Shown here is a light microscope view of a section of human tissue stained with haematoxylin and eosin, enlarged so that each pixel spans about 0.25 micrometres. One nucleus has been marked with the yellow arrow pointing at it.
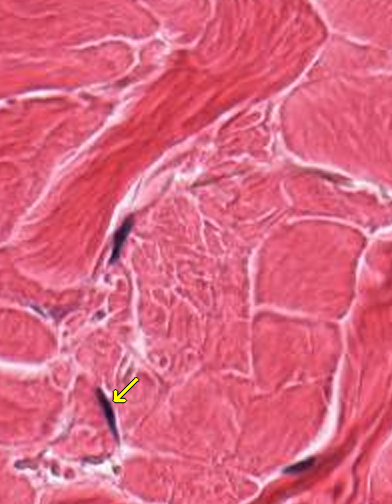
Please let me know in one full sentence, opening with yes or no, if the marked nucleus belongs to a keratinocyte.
No, the marked nucleus is not housed in a keratinocyte but in a supporting cell.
